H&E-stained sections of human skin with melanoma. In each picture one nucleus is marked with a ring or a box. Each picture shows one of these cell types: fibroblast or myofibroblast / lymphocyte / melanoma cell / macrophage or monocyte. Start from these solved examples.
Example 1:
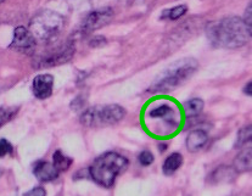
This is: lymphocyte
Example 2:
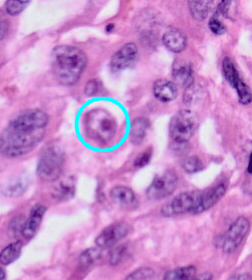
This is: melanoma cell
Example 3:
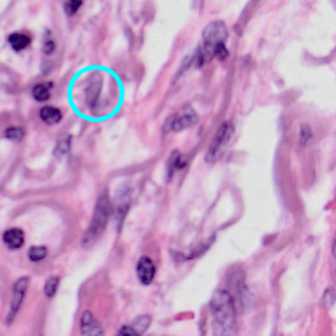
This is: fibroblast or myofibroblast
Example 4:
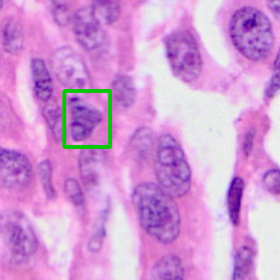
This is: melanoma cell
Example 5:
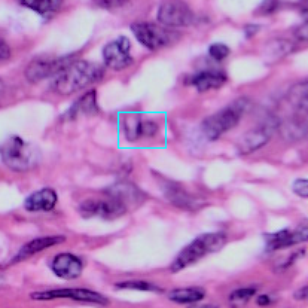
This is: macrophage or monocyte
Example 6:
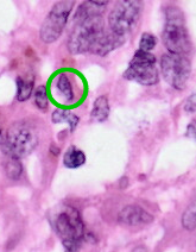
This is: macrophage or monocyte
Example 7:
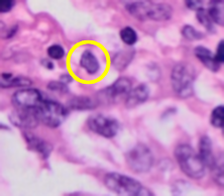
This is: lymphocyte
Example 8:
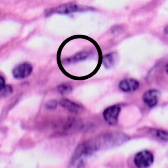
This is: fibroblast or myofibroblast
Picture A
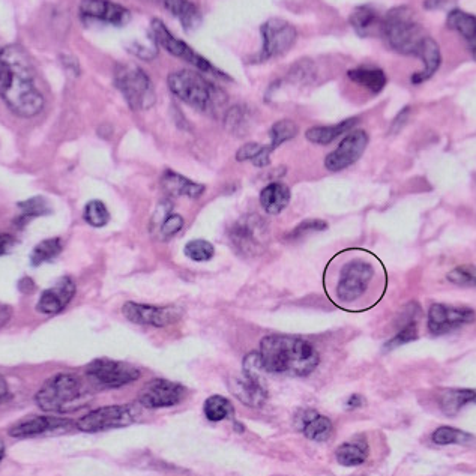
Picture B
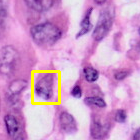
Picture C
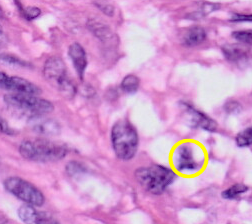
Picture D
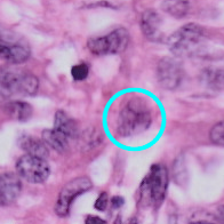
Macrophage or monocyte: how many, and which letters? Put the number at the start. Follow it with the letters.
2: A, B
